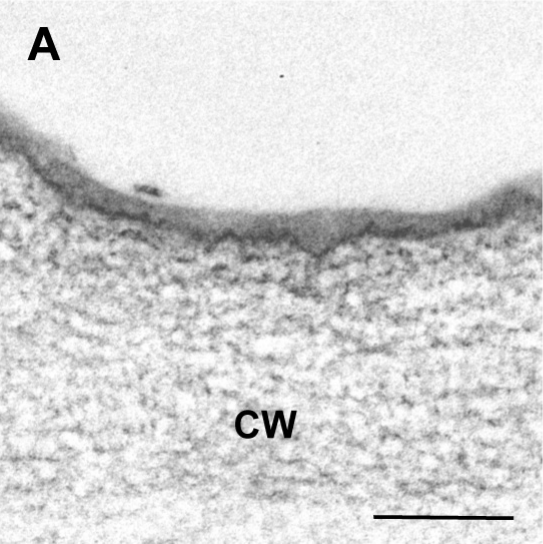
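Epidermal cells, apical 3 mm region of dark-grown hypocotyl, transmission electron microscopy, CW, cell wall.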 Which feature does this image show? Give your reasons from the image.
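Cuticle. A thin, electron-dense dark band lines the outer surface of the wall.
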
